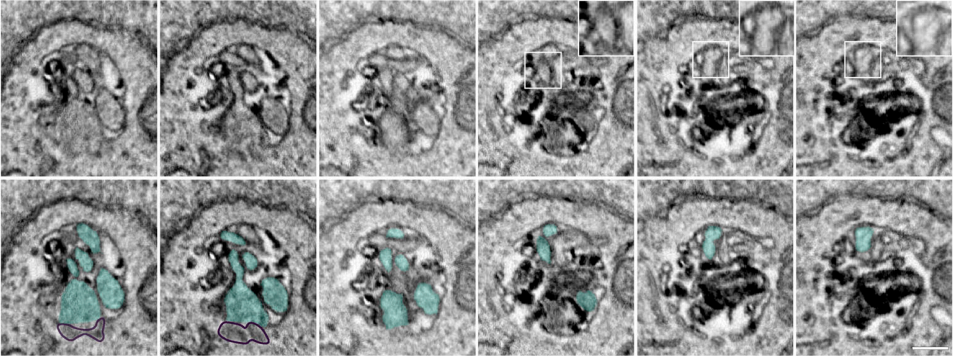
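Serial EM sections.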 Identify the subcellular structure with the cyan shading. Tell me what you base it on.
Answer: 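Cyan-shaded profiles lie within a membrane-bounded pocket. So: the cilium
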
